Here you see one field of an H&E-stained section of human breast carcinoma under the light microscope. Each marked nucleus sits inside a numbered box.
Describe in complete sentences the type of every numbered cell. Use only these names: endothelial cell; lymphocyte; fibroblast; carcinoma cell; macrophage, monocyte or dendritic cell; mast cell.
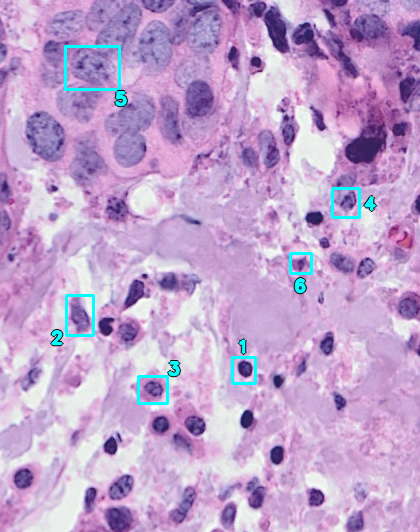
Cell 1 is a lymphocyte. Cell 2 is a fibroblast. Cell 3 is a mast cell. Cells 4 and 6 are macrophages, monocytes or dendritic cells. Cell 5 is a carcinoma cell.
